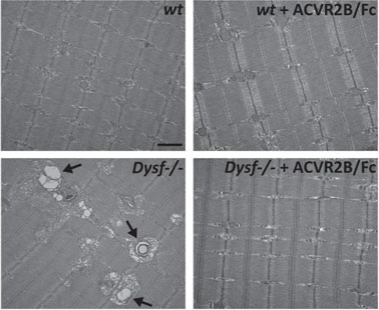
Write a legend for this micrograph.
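Longitudinal sections of skeletal myofibers in four fields. Myofibrils run in parallel with regular sarcomeres, and dark Z-lines cross them at even intervals, with alternating lighter and denser bands between. Small organelles sit in rows between the myofibrils near the Z-lines. In three fields the striated pattern is orderly and uninterrupted. In one field several rounded, pale, membrane-bound spaces lie between the myofibrils. The nearby myofibrils are displaced and the banding is locally disturbed.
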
